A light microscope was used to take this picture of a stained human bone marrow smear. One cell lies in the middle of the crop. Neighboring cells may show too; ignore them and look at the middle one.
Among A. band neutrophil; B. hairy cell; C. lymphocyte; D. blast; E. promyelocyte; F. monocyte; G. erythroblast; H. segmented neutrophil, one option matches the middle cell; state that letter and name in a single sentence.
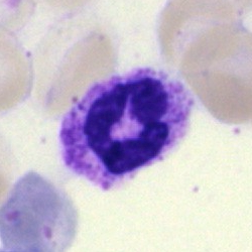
What option H states is correct, the central cell being a segmented neutrophil.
